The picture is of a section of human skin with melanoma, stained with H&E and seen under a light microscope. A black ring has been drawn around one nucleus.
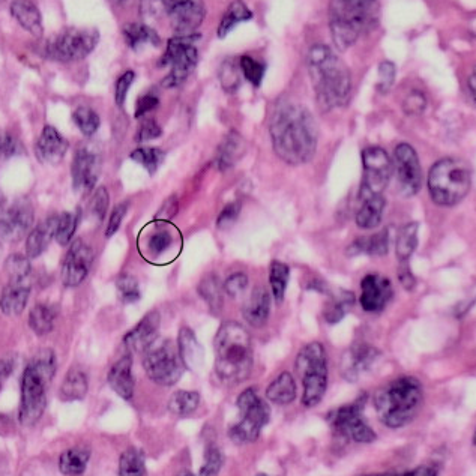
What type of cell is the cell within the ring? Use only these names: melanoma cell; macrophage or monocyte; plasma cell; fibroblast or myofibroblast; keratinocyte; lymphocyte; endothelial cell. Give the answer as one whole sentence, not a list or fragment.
What the cell within the ring represents is a lymphocyte.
